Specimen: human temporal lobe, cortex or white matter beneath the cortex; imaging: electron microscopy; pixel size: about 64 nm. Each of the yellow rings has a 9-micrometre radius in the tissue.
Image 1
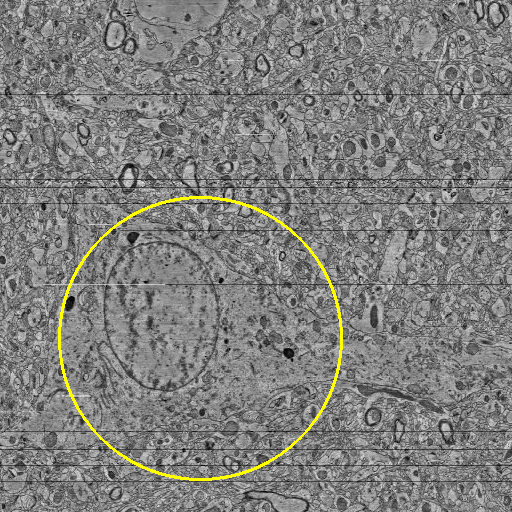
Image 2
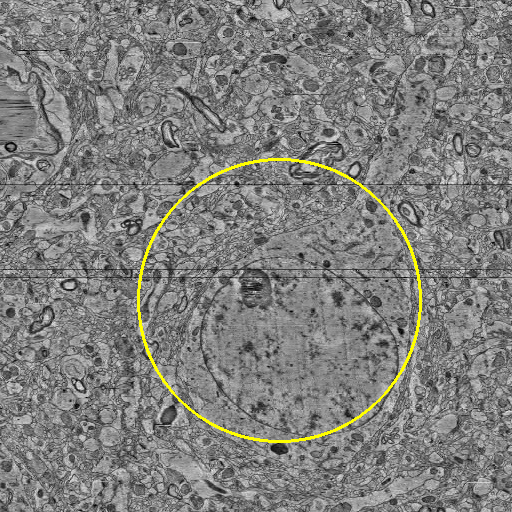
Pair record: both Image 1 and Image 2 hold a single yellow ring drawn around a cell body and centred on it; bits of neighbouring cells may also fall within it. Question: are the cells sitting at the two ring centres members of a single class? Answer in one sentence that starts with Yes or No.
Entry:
Yes, both ring-centre cells in Image 1 and Image 2 are members of one class.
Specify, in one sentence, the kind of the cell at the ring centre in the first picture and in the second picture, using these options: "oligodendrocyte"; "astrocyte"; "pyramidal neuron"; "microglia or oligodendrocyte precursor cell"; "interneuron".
In the first picture and in the second, the ring is centred on a pyramidal neuron.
